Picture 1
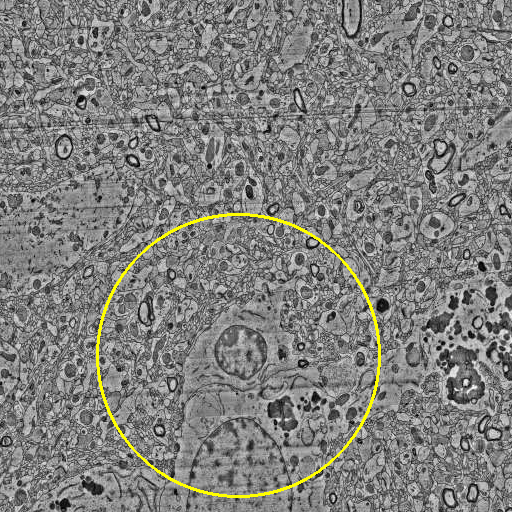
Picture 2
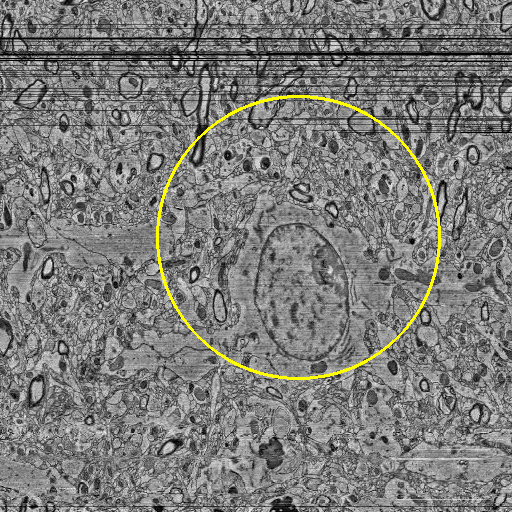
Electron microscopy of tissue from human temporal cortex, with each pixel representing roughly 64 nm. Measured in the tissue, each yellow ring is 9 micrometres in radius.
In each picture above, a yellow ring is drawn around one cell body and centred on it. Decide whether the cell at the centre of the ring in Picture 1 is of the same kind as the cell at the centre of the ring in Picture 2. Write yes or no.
yes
